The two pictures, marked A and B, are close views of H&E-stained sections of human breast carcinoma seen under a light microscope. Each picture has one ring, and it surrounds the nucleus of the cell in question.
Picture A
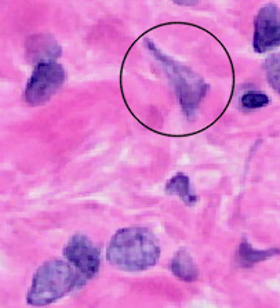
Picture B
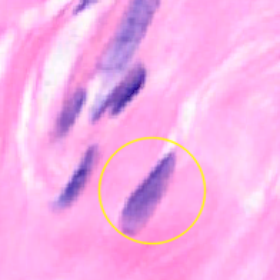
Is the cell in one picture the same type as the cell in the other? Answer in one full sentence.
Yes; the cells in both pictures are fibroblasts.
